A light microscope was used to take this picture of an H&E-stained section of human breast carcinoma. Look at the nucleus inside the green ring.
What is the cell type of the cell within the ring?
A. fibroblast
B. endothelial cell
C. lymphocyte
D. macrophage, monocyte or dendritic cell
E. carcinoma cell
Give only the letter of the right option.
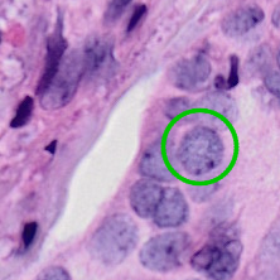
E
